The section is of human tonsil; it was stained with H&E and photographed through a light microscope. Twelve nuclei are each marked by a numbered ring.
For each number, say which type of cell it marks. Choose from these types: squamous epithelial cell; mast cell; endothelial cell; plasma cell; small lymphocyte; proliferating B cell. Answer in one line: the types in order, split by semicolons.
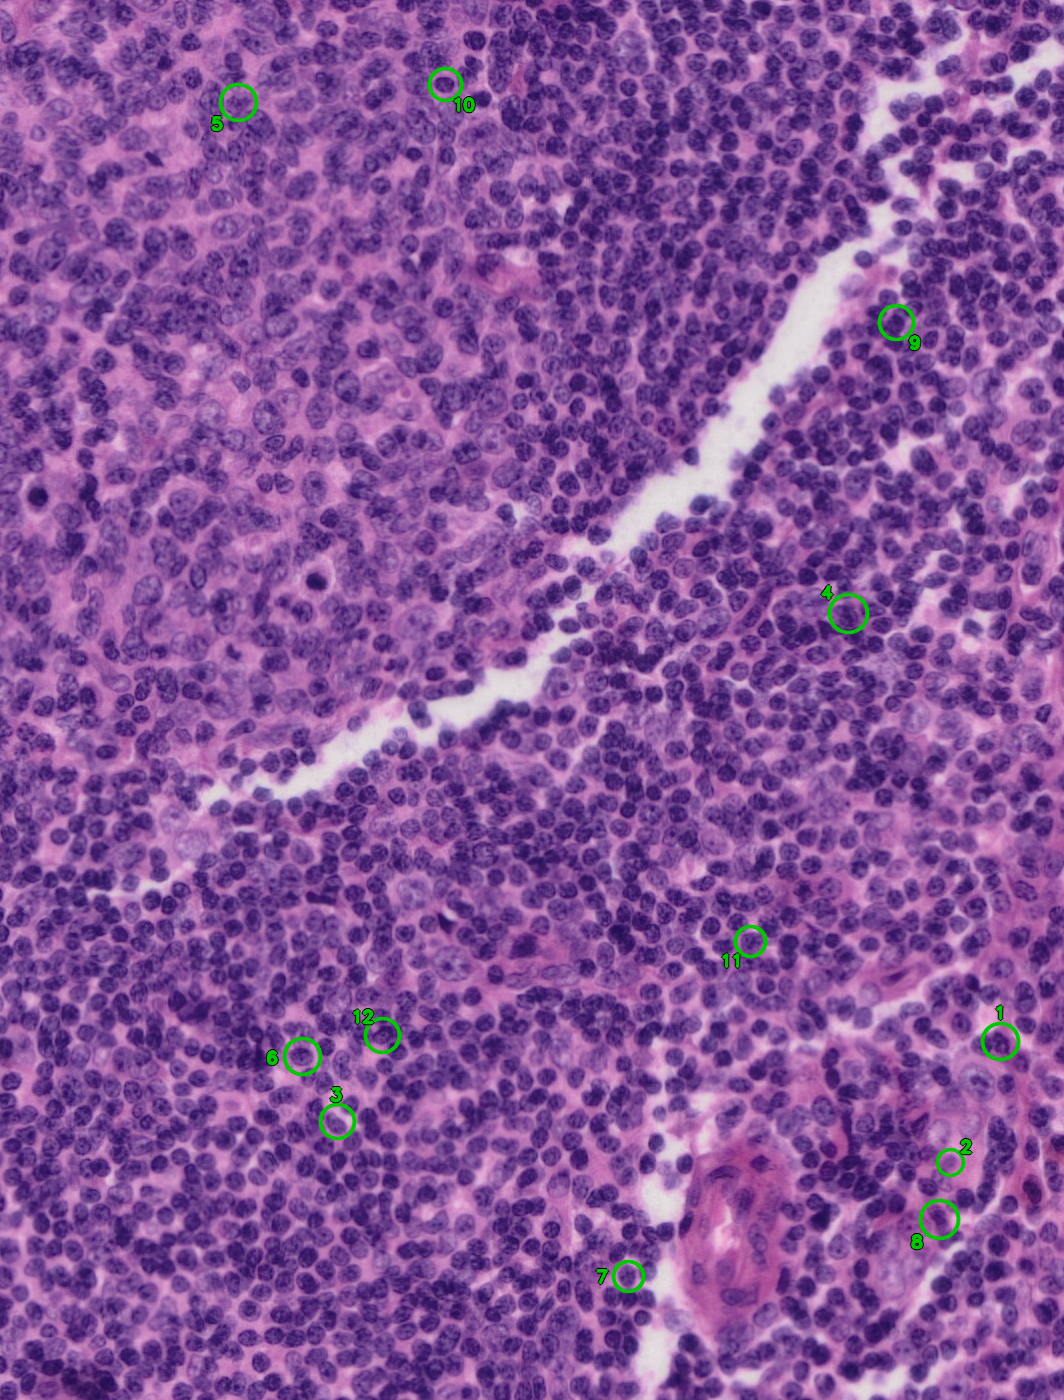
plasma cell; endothelial cell; small lymphocyte; small lymphocyte; proliferating B cell; small lymphocyte; small lymphocyte; endothelial cell; small lymphocyte; proliferating B cell; small lymphocyte; small lymphocyte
